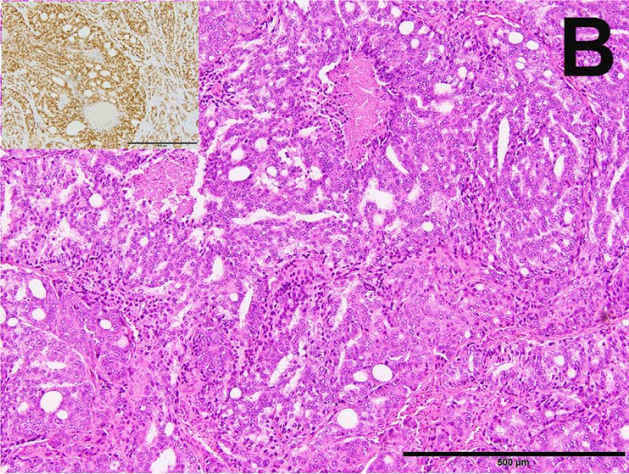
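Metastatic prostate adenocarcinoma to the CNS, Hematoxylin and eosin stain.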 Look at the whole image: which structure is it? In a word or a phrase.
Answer: Cribriform architecture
